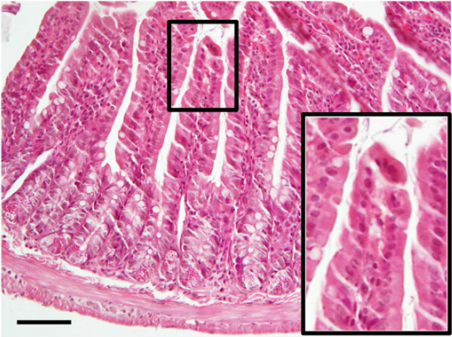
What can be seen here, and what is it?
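This is small intestinal mucosa stained pink and purple, showing tall, slender finger-like villi standing side by side above a layer of tubular crypts, with a thin band of pink smooth muscle along the bottom. Each villus is covered by a single row of tall columnar epithelial cells with elongated purple nuclei set toward the base, and scattered pale, rounded goblet cells interrupt the lining. The villus cores hold loosely arranged cells and small vessels.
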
